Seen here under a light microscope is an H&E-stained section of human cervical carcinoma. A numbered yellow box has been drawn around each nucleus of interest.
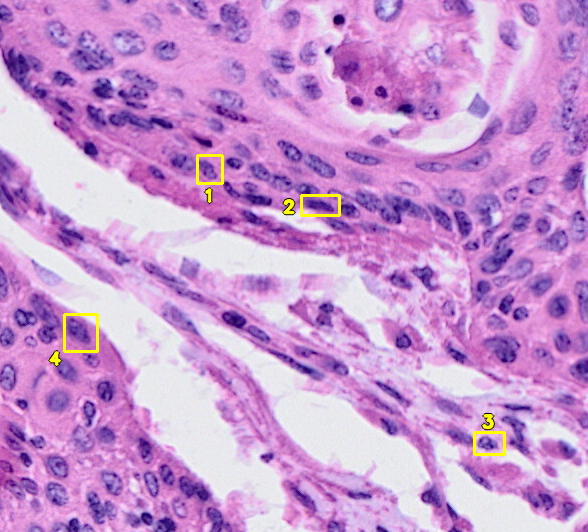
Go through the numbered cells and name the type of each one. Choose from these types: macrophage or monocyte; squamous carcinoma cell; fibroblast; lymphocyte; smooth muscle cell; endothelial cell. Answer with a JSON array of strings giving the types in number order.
["squamous carcinoma cell", "squamous carcinoma cell", "lymphocyte", "squamous carcinoma cell"]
